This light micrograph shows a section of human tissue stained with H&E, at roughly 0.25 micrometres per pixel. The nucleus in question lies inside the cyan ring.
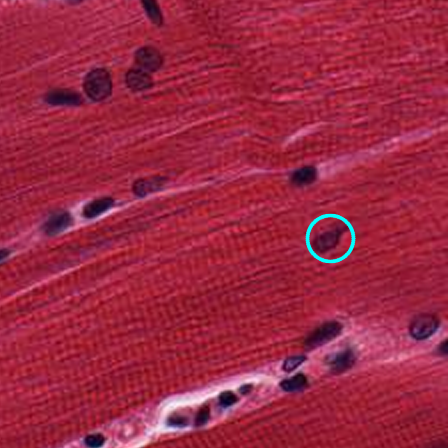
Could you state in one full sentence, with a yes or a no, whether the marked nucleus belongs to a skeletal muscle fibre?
Yes, the marked nucleus, in this picture, is that of a skeletal muscle fibre.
